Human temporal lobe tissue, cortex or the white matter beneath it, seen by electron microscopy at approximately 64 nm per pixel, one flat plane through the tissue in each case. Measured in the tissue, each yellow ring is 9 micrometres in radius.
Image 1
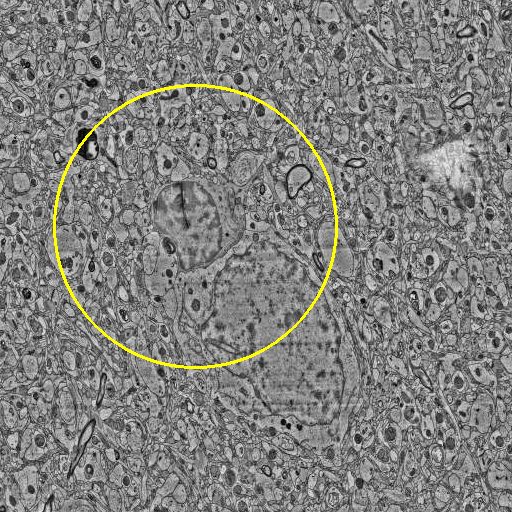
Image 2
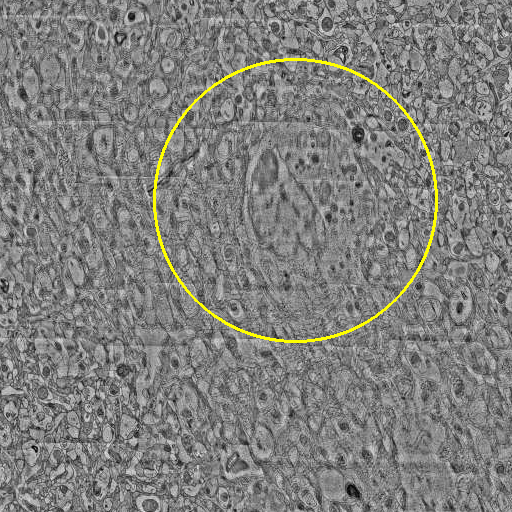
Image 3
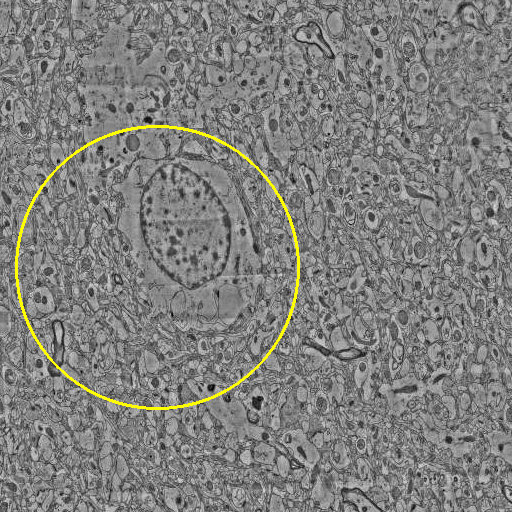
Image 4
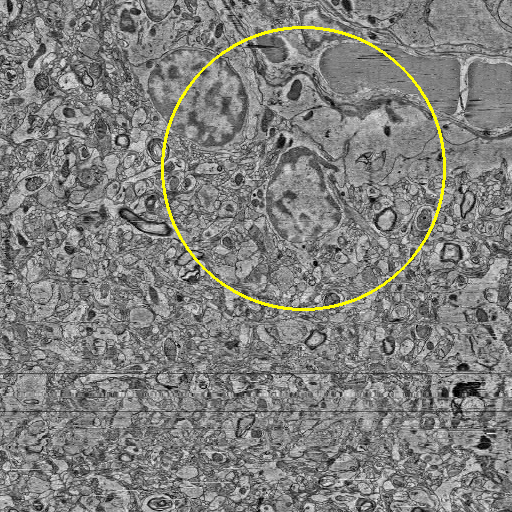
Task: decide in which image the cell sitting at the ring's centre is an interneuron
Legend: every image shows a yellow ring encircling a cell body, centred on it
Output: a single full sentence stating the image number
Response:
In image 2, the cell at the middle of the ring is the match.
